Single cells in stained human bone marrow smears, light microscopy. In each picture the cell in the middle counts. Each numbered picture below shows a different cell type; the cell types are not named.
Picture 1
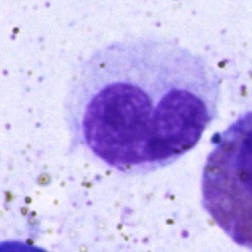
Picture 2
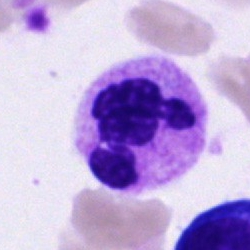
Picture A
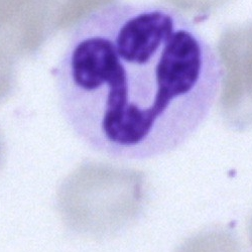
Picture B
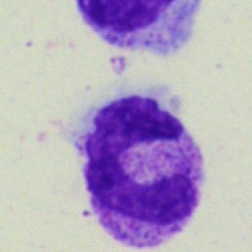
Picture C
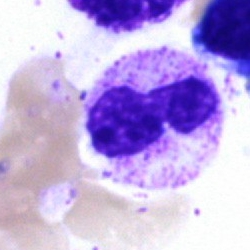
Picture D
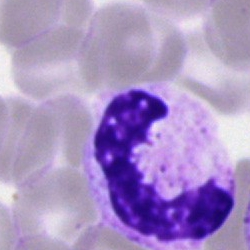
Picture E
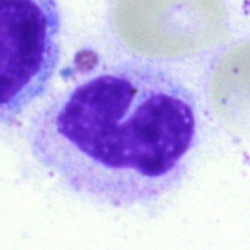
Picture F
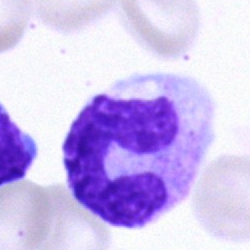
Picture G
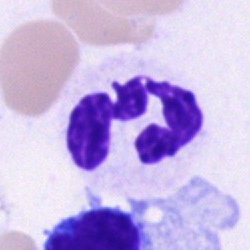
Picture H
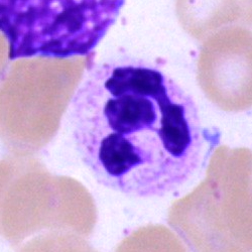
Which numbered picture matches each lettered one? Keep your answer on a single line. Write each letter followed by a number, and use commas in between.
A 2, B 1, C 1, D 1, E 1, F 1, G 2, H 2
